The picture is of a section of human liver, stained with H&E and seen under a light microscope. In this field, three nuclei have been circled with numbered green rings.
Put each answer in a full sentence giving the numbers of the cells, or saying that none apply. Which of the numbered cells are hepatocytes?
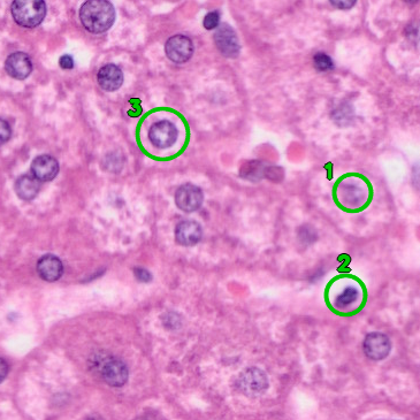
The cells referred to by numbers 1 and 3 are hepatocytes.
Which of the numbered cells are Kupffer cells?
The marked and numbered cells comprise no Kupffer cells.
